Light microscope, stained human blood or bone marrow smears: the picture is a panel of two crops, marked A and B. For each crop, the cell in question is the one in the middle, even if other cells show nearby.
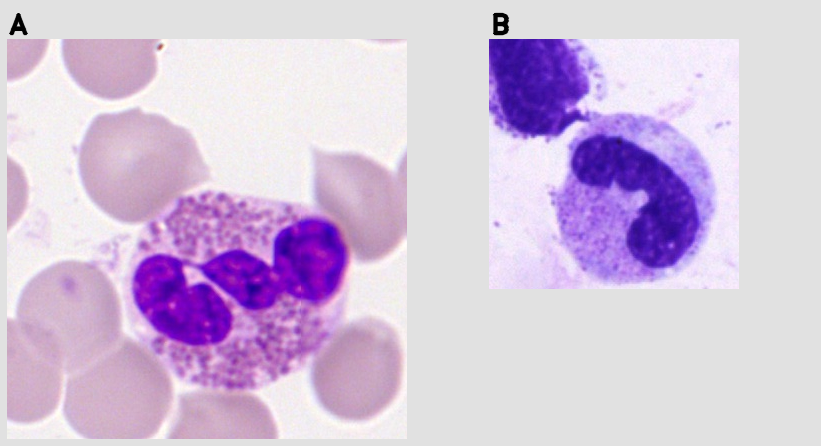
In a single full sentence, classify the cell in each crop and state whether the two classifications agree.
No, it is in crop A that an eosinophil is shown, and in crop B that a segmented neutrophil is shown.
